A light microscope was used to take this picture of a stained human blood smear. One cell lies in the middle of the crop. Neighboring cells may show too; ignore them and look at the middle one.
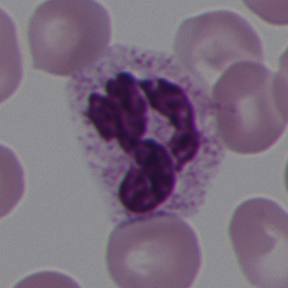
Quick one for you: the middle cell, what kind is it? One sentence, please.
At the crop's centre, the cell is a segmented neutrophil.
